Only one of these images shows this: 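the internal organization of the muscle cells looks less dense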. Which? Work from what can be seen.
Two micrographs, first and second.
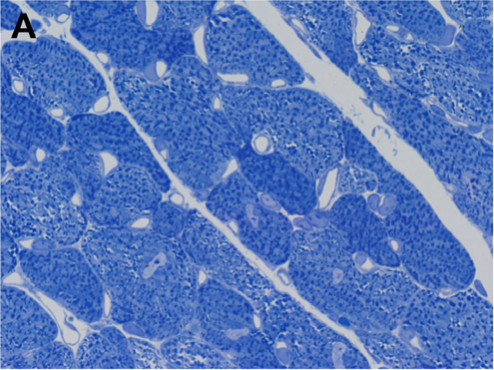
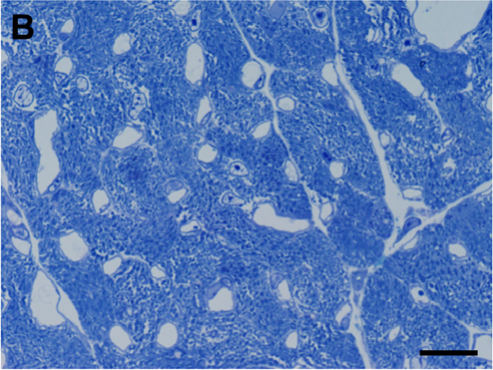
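Second image: cell profiles have a looser, paler, more mottled blue texture with many clear empty spaces. So: the second image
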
